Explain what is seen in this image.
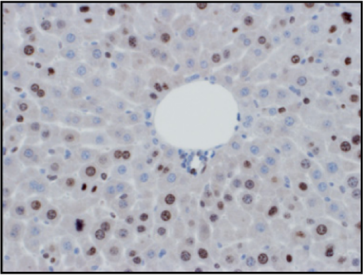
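This is liver parenchyma around a central vessel, made of hepatocytes in radiating plates. Many of the hepatocytes have nuclei stained dark brown, scattered throughout the field, while others keep blue counterstained nuclei. The hepatocytes are large and polygonal, with round central nuclei and pale, finely granular cytoplasm. Small flattened cells line the vessel and the narrow spaces between the cell plates, and these mostly lack the brown nuclear stain. The labeled nuclei show no clear zone of preference, being spread through the lobule rather than clustered near the vessel.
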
